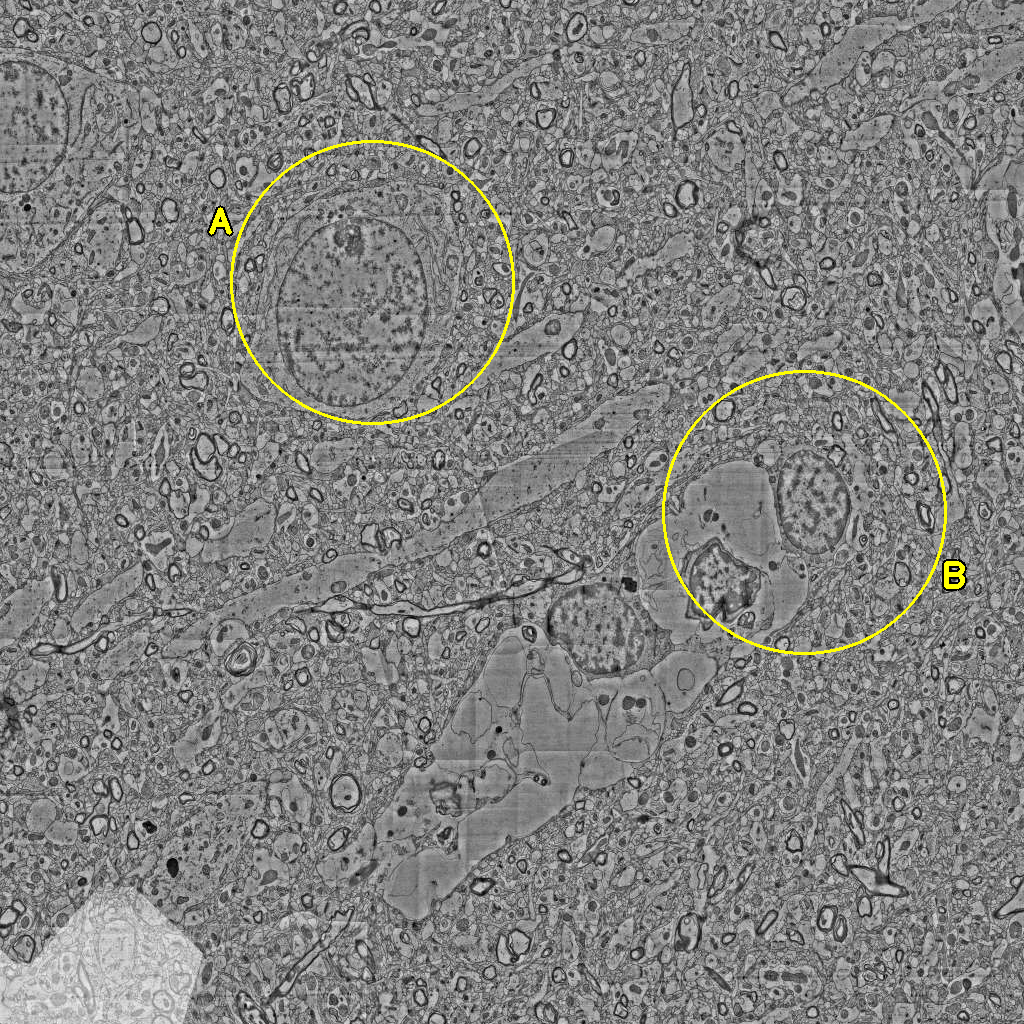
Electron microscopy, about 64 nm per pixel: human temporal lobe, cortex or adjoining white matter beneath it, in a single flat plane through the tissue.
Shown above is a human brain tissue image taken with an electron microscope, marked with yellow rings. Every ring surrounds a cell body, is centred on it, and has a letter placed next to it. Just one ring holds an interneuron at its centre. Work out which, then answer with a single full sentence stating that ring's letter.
Ring A is the one whose centre holds a cell of that kind.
